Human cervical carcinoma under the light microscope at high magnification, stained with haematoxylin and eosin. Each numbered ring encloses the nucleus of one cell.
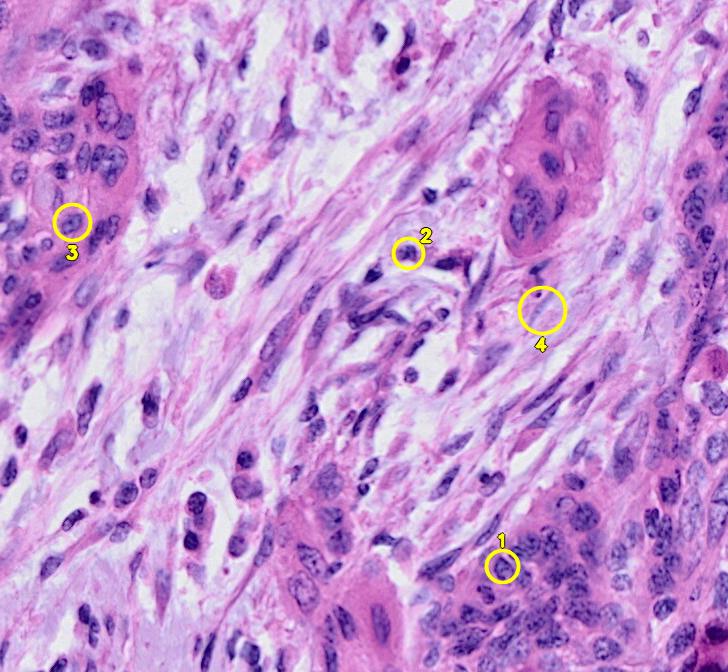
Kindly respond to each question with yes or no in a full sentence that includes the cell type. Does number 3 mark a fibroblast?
No, cell 3 is not a fibroblast; a squamous carcinoma cell is the correct identification.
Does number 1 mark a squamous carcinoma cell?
Yes, the cell at marker 1 is a squamous carcinoma cell.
